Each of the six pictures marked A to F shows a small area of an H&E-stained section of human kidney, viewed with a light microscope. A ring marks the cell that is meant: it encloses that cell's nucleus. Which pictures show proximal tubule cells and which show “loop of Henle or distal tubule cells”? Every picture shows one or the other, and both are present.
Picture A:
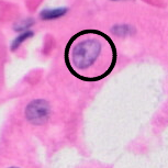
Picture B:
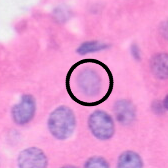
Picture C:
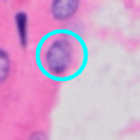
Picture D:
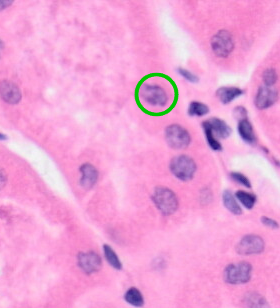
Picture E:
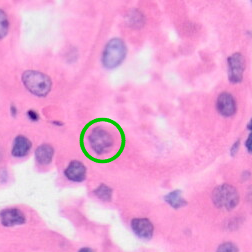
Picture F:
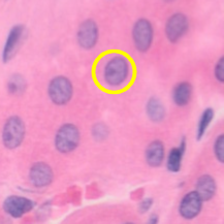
A: proximal tubule cell
B: loop of Henle or distal tubule cell
C: loop of Henle or distal tubule cell
D: proximal tubule cell
E: proximal tubule cell
F: proximal tubule cell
